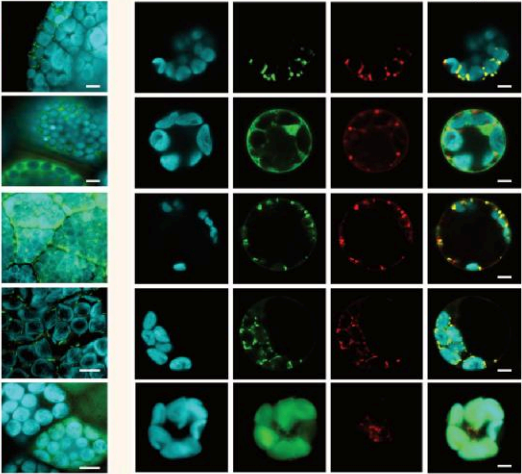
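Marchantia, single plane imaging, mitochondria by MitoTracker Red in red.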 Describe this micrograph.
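Rounded, isolated plant protoplasts appear in rows. In some cells the green signal forms small dots that coincide with red puncta, while in others the green fills the cytoplasm diffusely or outlines the cell.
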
